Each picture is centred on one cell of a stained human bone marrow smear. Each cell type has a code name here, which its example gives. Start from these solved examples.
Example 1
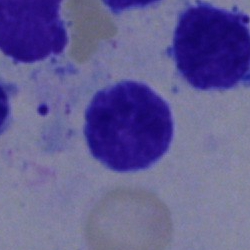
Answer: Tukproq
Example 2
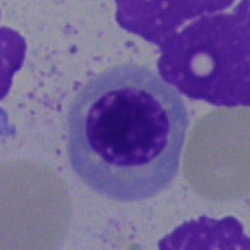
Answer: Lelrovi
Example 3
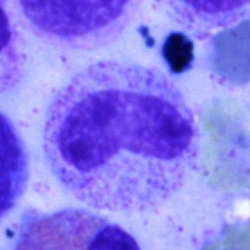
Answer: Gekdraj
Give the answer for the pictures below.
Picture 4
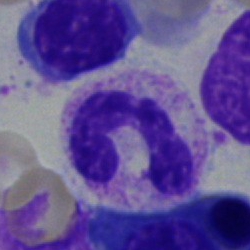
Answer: Gekdraj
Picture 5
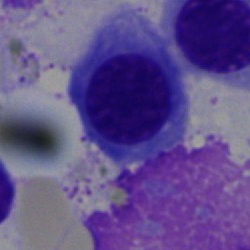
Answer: Lelrovi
